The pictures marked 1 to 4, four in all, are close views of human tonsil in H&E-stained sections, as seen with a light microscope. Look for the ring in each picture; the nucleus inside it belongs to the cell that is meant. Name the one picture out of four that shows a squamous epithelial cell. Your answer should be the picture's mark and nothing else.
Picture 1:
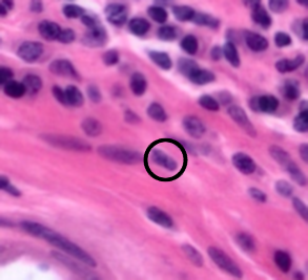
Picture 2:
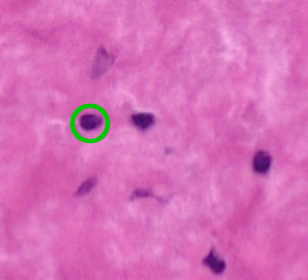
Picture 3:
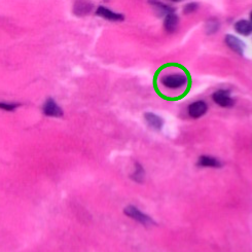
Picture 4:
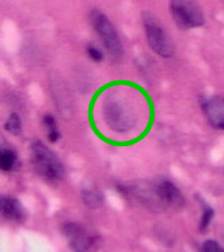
4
